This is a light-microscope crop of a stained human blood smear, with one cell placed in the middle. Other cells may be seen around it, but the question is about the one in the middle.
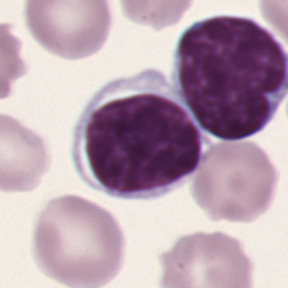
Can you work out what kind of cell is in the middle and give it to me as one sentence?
Classified as a typical lymphocyte is the cell in the middle of this crop.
